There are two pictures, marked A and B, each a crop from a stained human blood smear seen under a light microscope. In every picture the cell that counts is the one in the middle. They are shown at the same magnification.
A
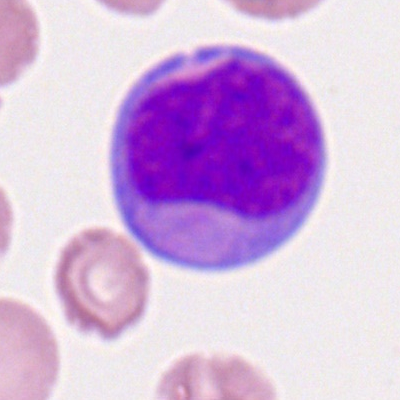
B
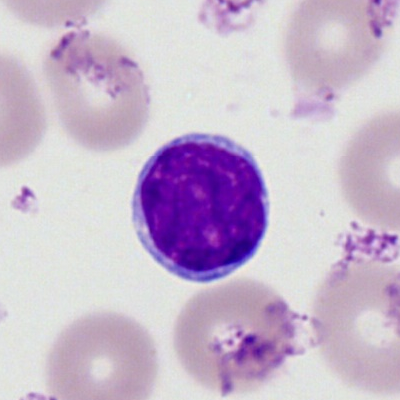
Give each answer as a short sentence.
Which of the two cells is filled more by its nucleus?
The nucleus fills more of the cell in picture B than in picture A.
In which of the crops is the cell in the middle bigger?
Larger is the cell in picture A, at roughly 2.5 times the area of the other.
